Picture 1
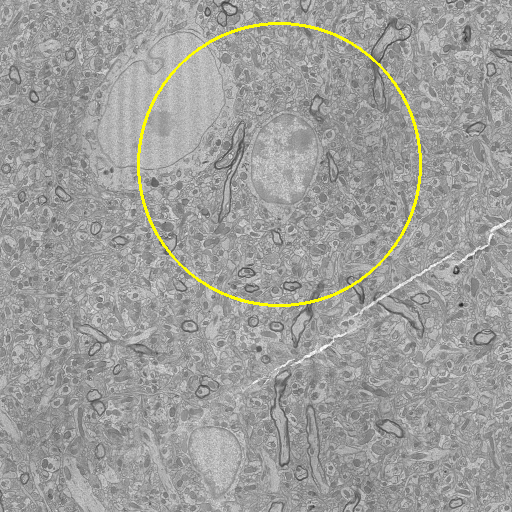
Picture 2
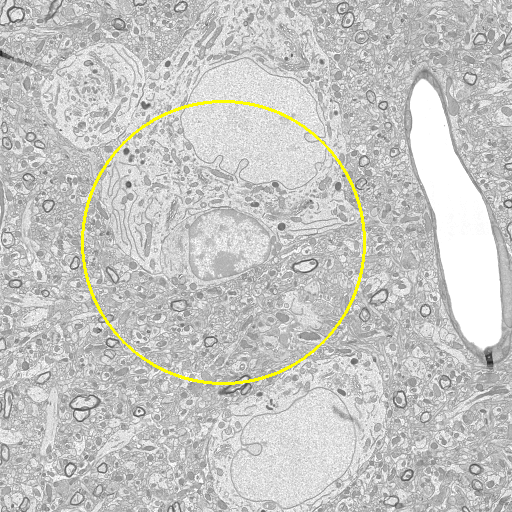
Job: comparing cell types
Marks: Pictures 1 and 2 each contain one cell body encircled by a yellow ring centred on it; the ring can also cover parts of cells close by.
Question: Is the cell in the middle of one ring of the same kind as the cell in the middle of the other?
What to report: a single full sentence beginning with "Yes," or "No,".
Yes, the cell at the ring centre in Picture 1 and its partner in Picture 2 are of one kind.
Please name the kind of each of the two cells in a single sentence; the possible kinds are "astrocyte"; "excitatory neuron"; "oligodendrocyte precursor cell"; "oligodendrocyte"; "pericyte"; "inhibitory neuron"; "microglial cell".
Each of the two rings is centred on an oligodendrocyte.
